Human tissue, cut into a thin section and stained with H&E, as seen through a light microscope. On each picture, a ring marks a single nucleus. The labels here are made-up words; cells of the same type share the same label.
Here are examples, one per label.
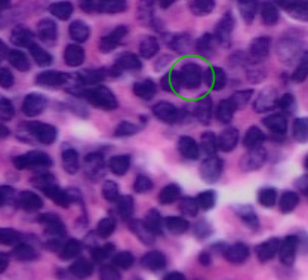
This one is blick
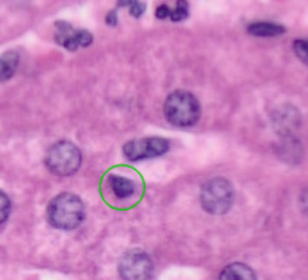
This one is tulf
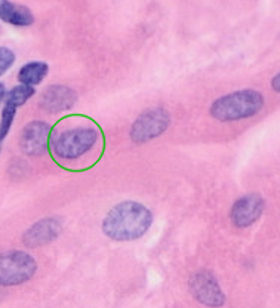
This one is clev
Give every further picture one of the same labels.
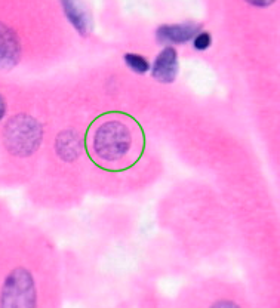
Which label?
clev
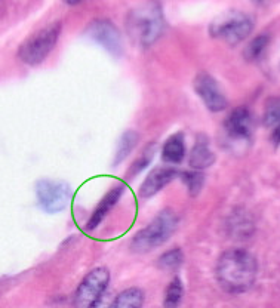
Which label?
tulf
